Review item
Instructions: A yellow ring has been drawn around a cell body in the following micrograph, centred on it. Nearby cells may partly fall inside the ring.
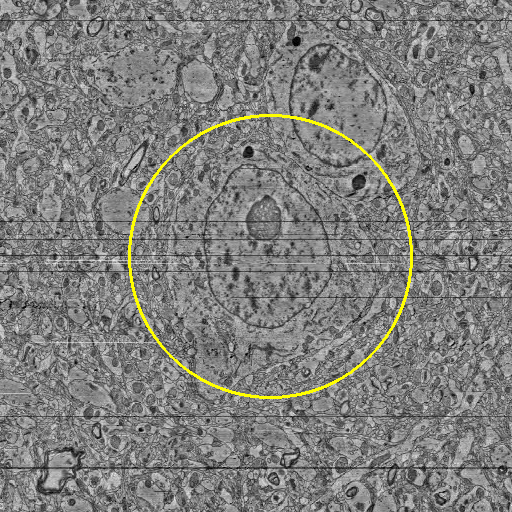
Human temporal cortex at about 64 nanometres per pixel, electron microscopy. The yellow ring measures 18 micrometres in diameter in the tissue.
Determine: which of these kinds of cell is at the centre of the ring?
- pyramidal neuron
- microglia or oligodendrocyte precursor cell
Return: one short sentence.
The cell body in the middle of the ring is that of a pyramidal neuron.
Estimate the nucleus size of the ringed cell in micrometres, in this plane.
In this plane, about 11 micrometres in length and 8 in width.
